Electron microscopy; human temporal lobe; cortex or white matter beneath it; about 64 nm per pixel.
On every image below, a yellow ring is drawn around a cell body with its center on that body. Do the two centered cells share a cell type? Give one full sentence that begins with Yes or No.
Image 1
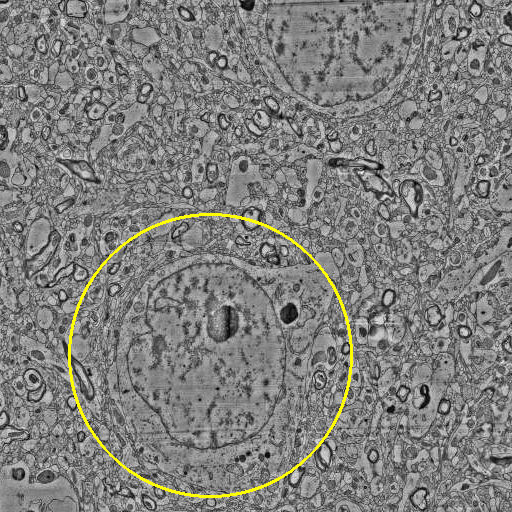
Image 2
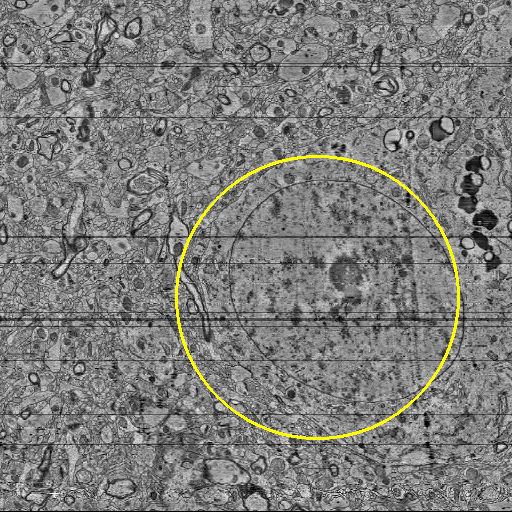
Yes, the centered cells in the two images are of a single cell type.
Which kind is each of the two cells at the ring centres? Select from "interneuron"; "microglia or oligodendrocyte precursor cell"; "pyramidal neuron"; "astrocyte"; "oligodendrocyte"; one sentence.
In the first picture and in the second, the ring is centred on a pyramidal neuron.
